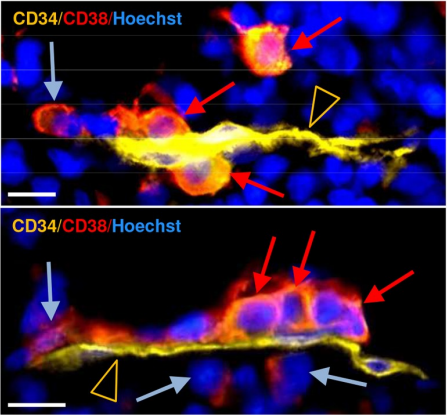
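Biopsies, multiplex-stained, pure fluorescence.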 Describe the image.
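Bone marrow in fluorescence, with a thin, elongated yellow capillary running among densely packed blue nuclei. Several rounded cells with bright red-orange rims and blue nuclei lie alongside the capillary, clustered and touching one another. A few other cells with only faint red rims lie nearby.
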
